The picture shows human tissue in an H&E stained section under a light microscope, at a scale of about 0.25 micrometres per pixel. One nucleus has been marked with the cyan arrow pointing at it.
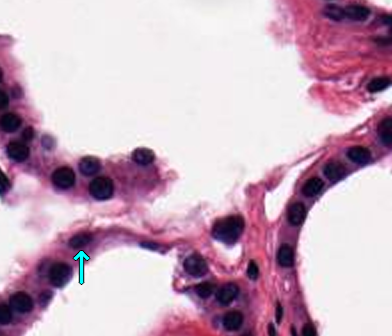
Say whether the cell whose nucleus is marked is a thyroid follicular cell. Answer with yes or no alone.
yes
